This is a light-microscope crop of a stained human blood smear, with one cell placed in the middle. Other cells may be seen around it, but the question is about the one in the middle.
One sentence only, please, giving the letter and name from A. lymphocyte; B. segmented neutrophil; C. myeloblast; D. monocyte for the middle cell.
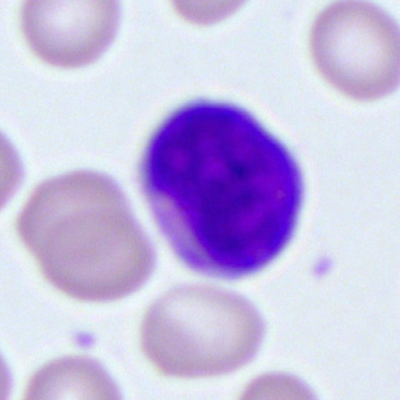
Of the options given, C is correct, the central cell being a myeloblast.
